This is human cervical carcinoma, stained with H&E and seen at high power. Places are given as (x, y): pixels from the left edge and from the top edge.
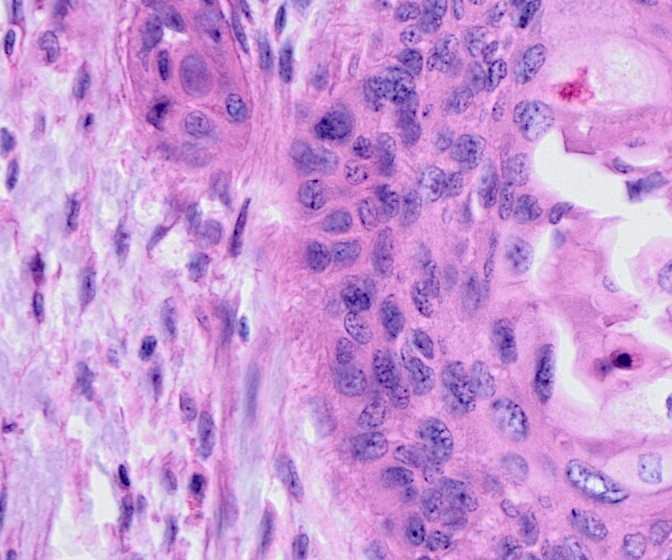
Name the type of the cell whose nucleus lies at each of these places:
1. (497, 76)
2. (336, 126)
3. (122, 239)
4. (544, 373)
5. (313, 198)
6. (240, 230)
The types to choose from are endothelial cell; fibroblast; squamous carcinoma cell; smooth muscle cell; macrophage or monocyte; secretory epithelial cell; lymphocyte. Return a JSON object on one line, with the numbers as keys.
{"1": "squamous carcinoma cell", "2": "squamous carcinoma cell", "3": "fibroblast", "4": "squamous carcinoma cell", "5": "squamous carcinoma cell", "6": "fibroblast"}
